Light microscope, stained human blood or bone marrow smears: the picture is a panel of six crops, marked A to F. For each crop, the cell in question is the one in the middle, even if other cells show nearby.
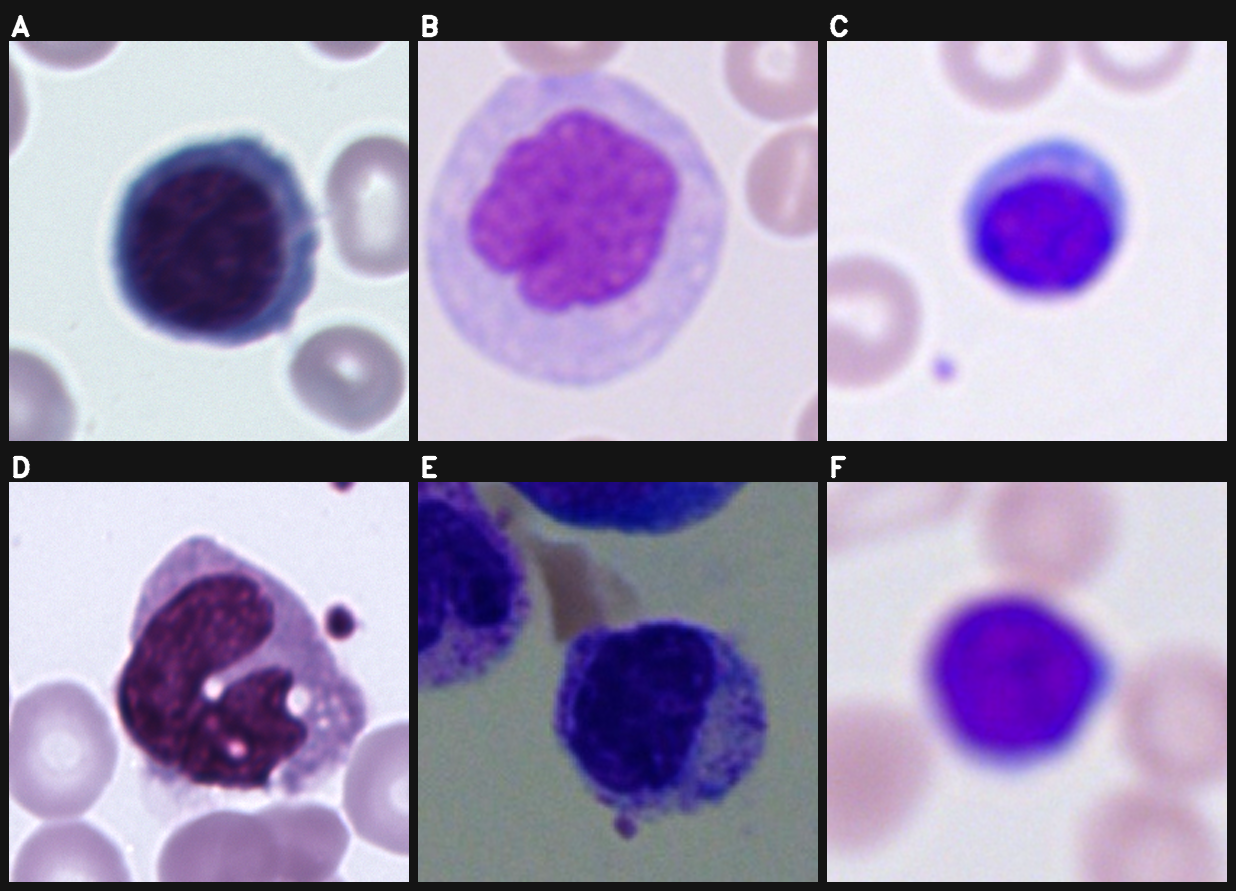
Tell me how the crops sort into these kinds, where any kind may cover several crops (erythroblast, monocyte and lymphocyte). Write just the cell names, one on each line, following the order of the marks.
erythroblast
monocyte
lymphocyte
monocyte
lymphocyte
lymphocyte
